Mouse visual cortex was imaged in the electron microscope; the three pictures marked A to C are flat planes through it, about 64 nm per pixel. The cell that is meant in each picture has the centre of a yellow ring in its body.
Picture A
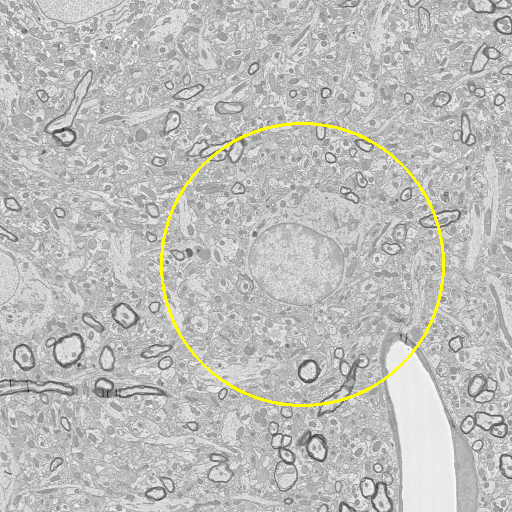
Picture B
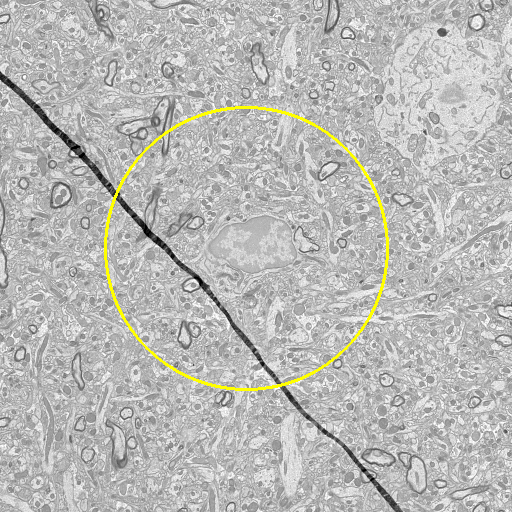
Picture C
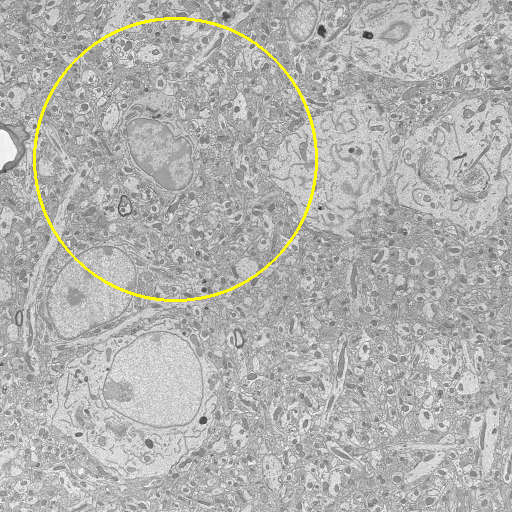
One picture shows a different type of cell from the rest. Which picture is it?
The different one is picture A; it shows an oligodendrocyte, whereas all the others show microglial cells.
